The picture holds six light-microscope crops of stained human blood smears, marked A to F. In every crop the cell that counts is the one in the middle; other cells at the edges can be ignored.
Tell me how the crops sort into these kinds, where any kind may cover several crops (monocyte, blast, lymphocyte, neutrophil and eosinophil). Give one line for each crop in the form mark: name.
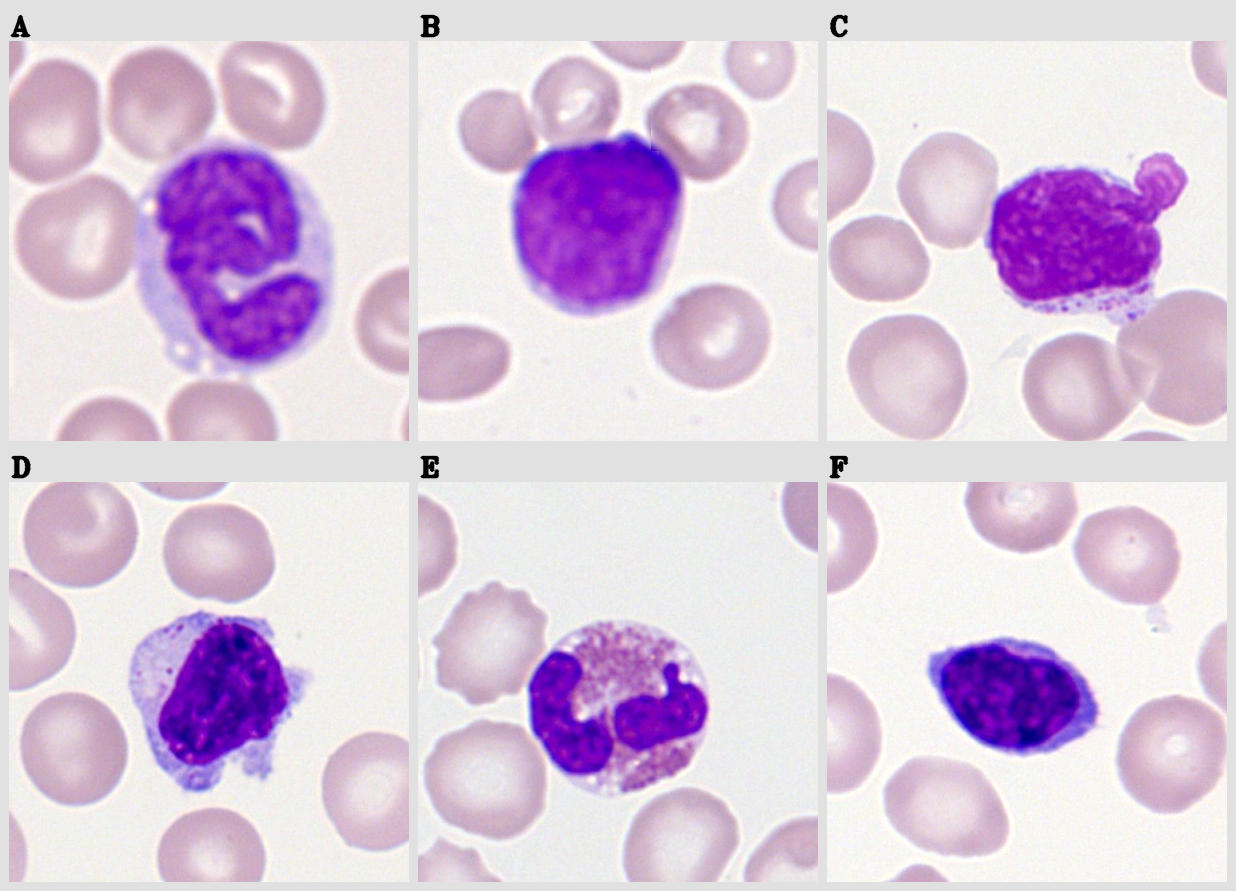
A: monocyte
B: blast
C: lymphocyte
D: lymphocyte
E: eosinophil
F: lymphocyte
